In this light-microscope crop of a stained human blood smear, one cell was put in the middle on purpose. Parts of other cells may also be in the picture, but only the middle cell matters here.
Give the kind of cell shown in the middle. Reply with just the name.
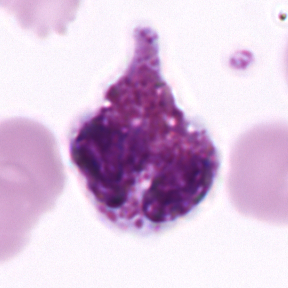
eosinophil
